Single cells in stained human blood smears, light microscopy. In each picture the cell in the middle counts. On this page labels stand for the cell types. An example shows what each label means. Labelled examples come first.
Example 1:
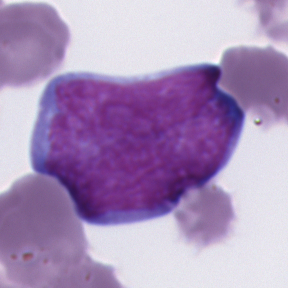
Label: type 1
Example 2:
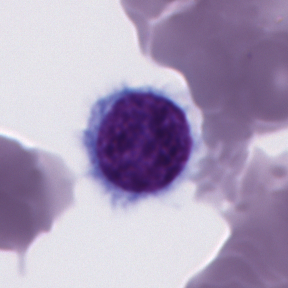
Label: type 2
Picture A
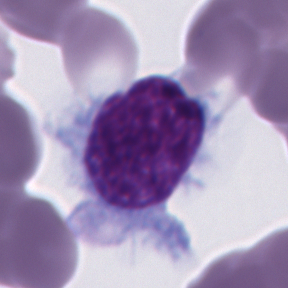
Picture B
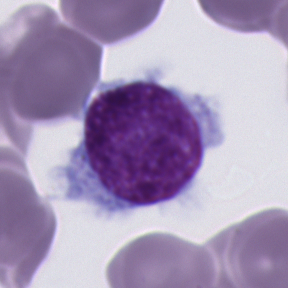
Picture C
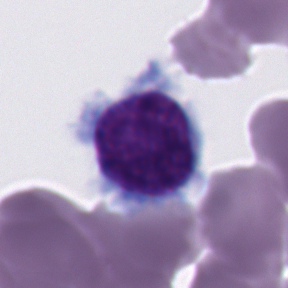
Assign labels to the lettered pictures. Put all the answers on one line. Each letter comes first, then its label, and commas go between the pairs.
A type 2, B type 2, C type 2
